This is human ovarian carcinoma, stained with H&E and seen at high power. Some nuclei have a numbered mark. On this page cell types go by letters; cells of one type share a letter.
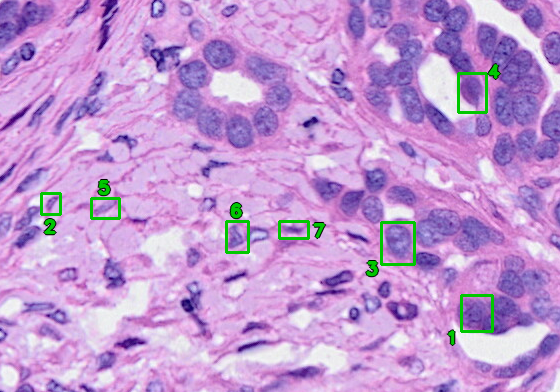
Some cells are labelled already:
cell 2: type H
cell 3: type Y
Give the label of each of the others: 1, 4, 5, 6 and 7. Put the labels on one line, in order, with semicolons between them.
type Y; type Y; type H; type H; type H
